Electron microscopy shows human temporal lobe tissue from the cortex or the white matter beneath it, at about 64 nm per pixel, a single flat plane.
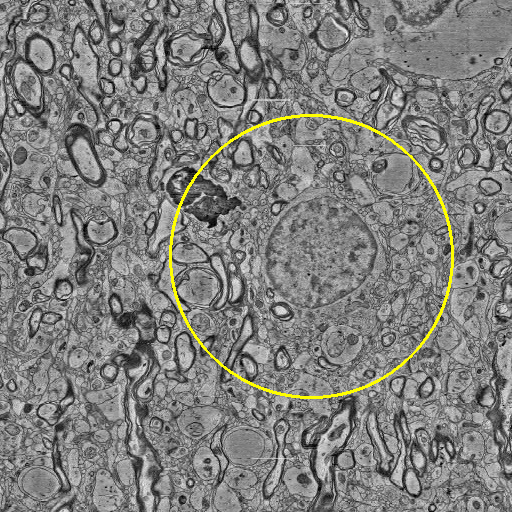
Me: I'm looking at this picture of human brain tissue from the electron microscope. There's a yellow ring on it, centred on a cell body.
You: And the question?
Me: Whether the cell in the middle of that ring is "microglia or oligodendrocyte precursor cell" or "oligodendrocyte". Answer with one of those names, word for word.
oligodendrocyte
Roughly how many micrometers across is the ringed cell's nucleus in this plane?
In this plane, approximately 7 micrometres across.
